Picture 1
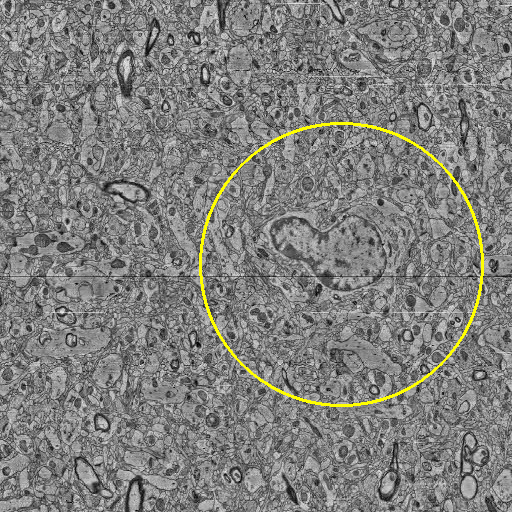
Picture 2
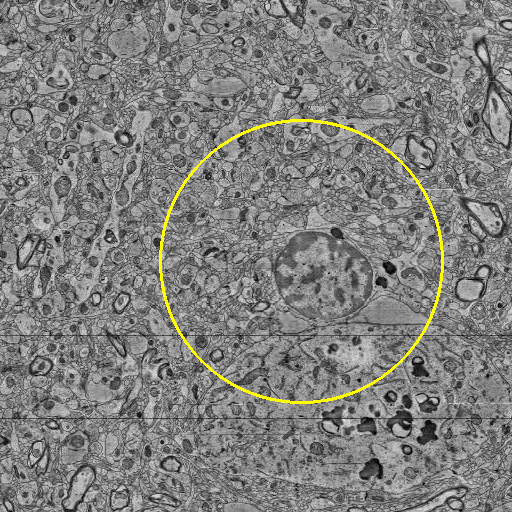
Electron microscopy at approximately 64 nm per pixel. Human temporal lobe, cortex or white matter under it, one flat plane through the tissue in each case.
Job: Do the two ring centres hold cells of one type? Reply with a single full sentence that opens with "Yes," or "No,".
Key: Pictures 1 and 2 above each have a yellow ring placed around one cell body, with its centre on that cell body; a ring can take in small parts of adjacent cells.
Yes, the cells at the two ring centres are of one single type.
